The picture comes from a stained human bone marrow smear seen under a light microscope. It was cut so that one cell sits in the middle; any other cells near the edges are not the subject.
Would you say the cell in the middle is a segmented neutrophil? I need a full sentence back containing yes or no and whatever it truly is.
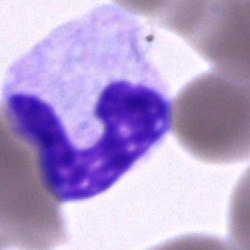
Yes, the centered cell in this field is a segmented neutrophil.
